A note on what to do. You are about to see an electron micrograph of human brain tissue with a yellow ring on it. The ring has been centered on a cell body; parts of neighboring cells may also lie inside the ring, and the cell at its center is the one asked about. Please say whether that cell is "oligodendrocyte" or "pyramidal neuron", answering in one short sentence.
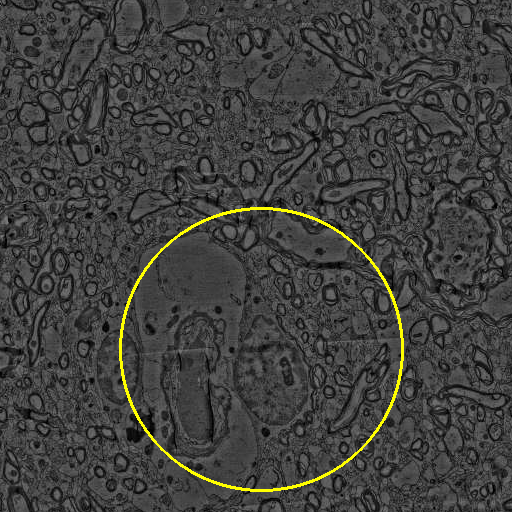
The yellow ring sits on an oligodendrocyte.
